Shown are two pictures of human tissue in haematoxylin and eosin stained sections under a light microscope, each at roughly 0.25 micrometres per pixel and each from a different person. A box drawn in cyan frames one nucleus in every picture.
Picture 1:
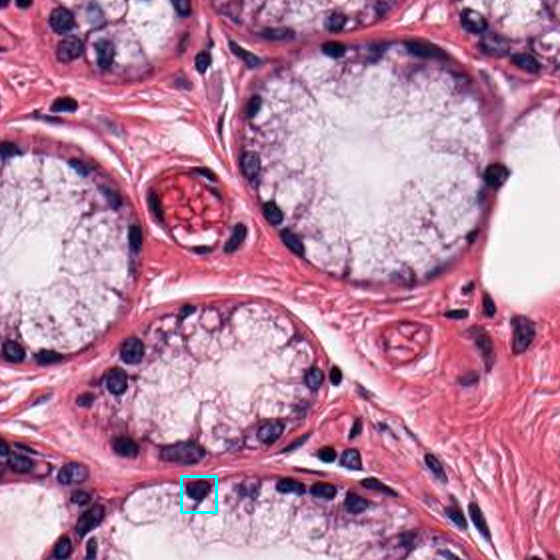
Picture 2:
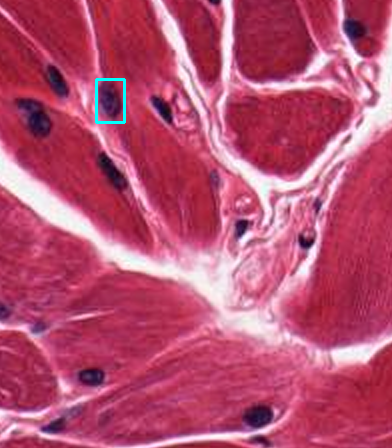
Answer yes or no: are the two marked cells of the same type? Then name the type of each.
No, the first is a mucous gland cell and the second a skeletal muscle fibre.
